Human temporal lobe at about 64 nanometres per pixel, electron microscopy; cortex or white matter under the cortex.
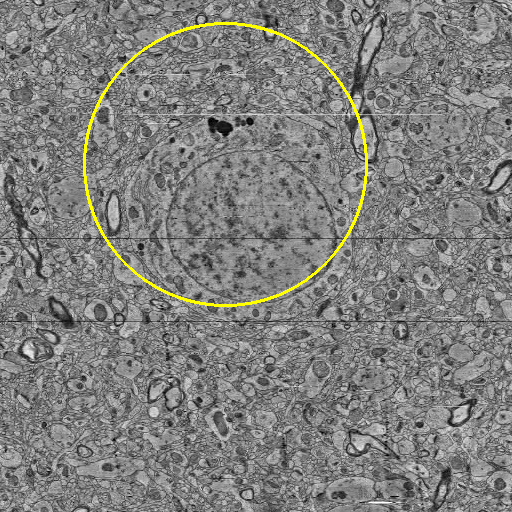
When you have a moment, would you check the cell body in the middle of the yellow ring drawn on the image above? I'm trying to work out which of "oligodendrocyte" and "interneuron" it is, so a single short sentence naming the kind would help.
This cell body belongs to an interneuron.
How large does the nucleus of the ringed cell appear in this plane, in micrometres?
About 10 micrometers across, in this plane.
